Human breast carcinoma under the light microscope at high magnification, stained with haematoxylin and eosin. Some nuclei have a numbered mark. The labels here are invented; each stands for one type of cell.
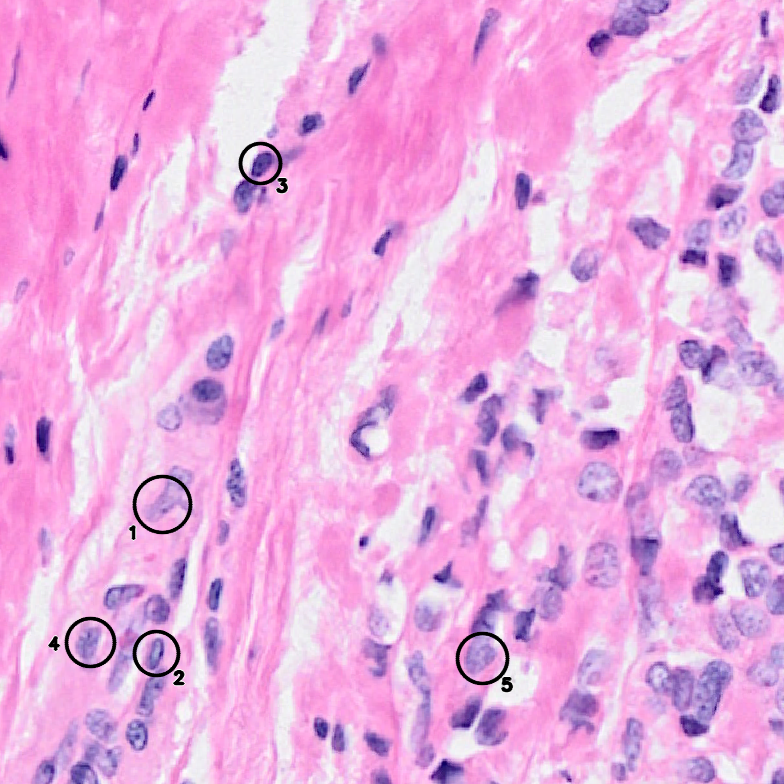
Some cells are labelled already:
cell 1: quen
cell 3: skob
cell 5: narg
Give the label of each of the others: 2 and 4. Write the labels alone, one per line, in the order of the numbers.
quen
quen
